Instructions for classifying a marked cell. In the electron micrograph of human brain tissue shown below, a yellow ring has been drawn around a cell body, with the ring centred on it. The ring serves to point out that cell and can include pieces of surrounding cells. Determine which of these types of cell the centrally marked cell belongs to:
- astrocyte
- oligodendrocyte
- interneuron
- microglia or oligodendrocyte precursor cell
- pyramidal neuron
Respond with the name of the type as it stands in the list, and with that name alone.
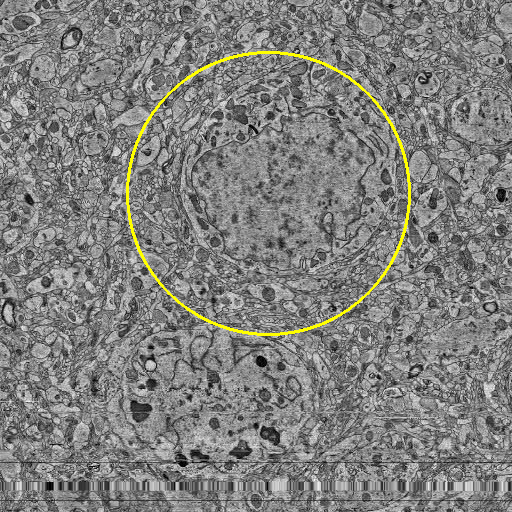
interneuron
